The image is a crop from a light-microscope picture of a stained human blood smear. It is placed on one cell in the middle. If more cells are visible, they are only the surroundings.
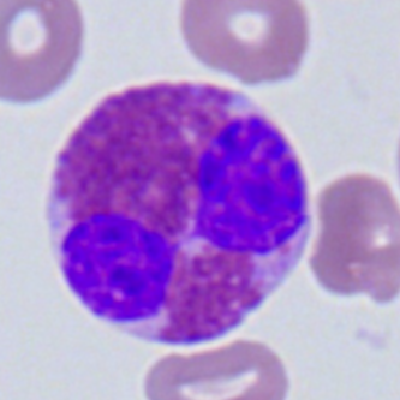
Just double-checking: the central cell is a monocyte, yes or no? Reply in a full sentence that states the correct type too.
No, the centred cell is an eosinophil instead of a monocyte.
